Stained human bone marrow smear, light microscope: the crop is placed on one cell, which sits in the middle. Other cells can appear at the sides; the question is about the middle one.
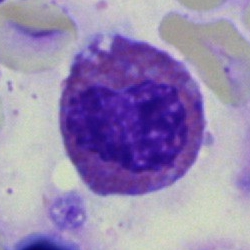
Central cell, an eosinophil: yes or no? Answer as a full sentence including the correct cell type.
Yes, the identity of the central cell is that of an eosinophil.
